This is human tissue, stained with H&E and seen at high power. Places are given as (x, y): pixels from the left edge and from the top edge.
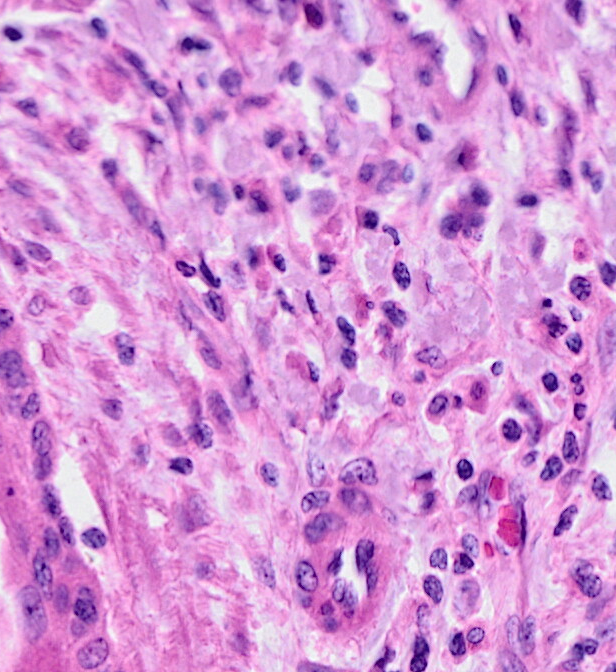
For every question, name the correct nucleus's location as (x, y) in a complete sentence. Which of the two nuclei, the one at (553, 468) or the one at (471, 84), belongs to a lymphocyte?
Of the two nuclei, the one sitting at (553, 468) belongs to a lymphocyte.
